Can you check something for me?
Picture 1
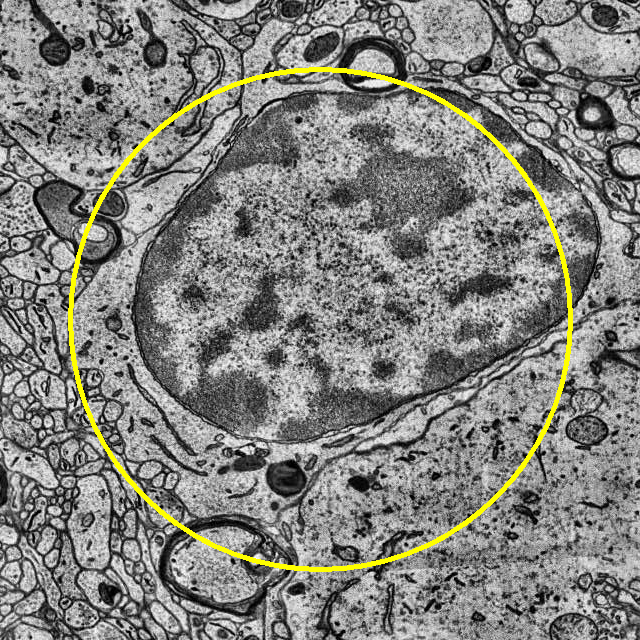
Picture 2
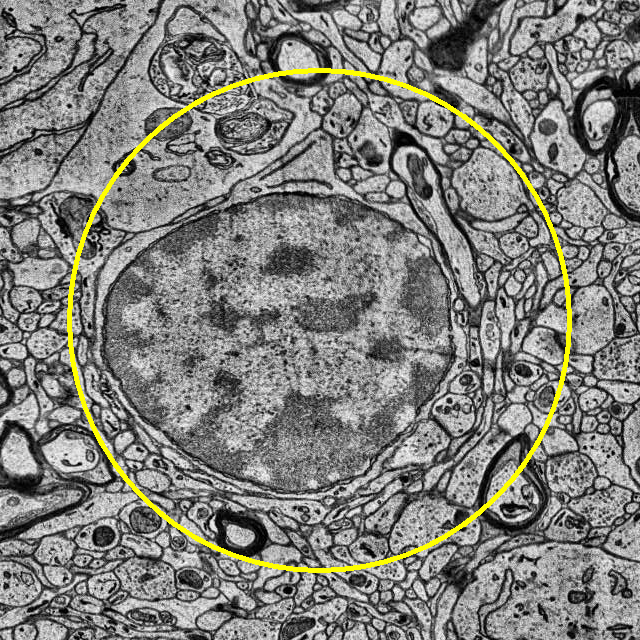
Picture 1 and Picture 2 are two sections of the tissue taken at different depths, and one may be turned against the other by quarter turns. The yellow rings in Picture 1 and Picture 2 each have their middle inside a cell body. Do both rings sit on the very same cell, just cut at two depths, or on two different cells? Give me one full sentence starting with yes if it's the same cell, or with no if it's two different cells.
Yes, the rings do not mark different cells but one cell.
